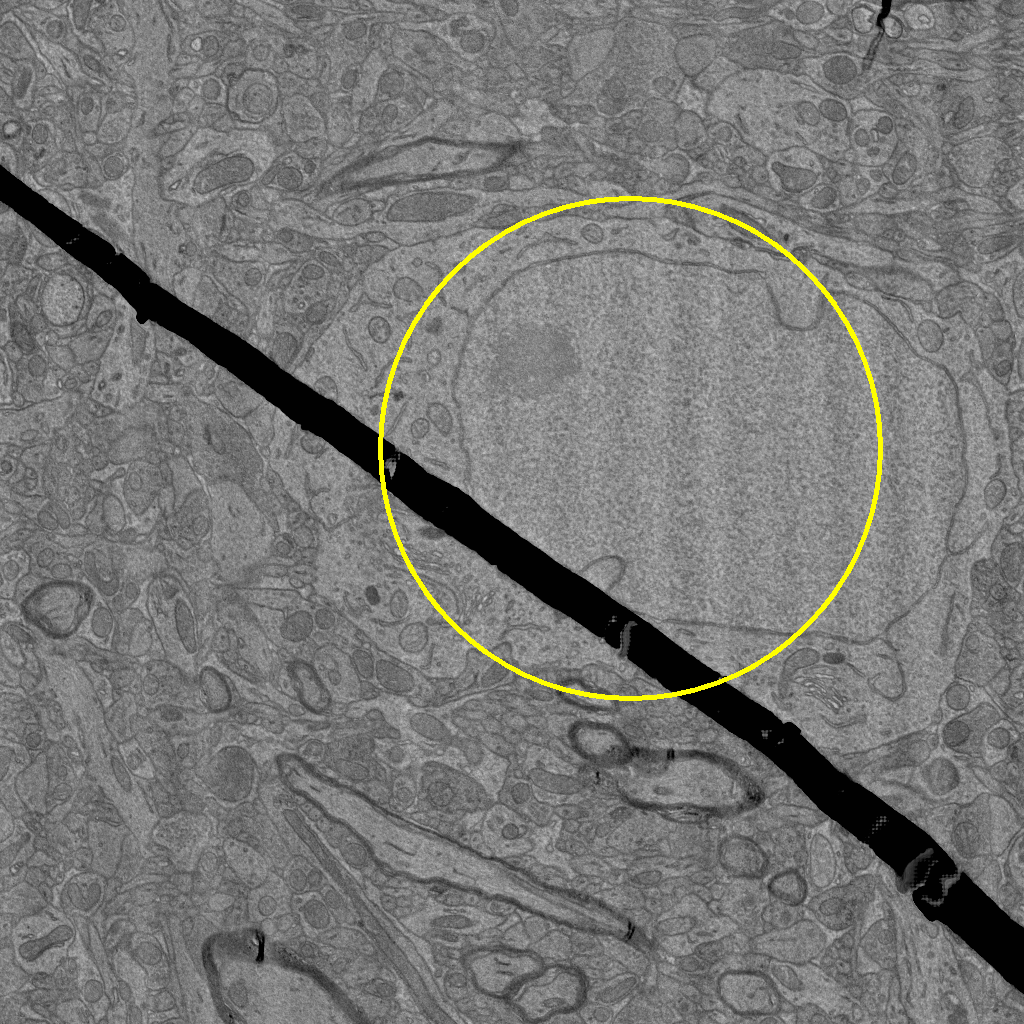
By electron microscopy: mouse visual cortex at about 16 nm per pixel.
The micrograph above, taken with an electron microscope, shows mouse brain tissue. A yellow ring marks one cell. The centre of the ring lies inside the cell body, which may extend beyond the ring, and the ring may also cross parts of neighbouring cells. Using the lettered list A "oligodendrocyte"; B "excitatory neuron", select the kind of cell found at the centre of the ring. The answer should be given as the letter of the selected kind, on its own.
B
